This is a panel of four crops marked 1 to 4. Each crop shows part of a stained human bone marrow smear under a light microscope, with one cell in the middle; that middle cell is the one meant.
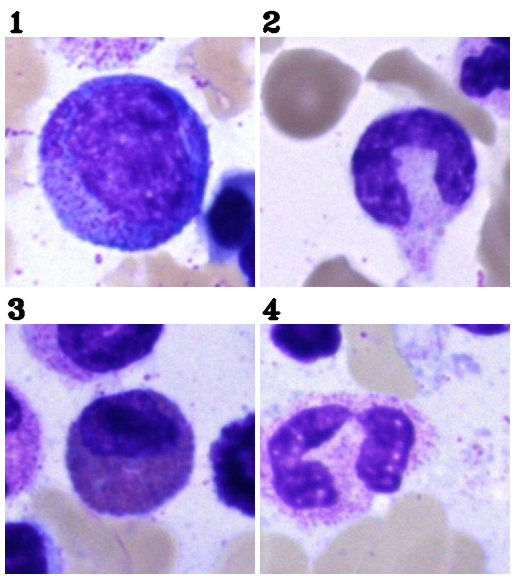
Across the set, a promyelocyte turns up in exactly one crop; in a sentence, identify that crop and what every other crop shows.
On the one hand crop 1 shows a promyelocyte; on the other, crop 2 is a band neutrophil, crop 3 is an eosinophil and crop 4 is a segmented neutrophil.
